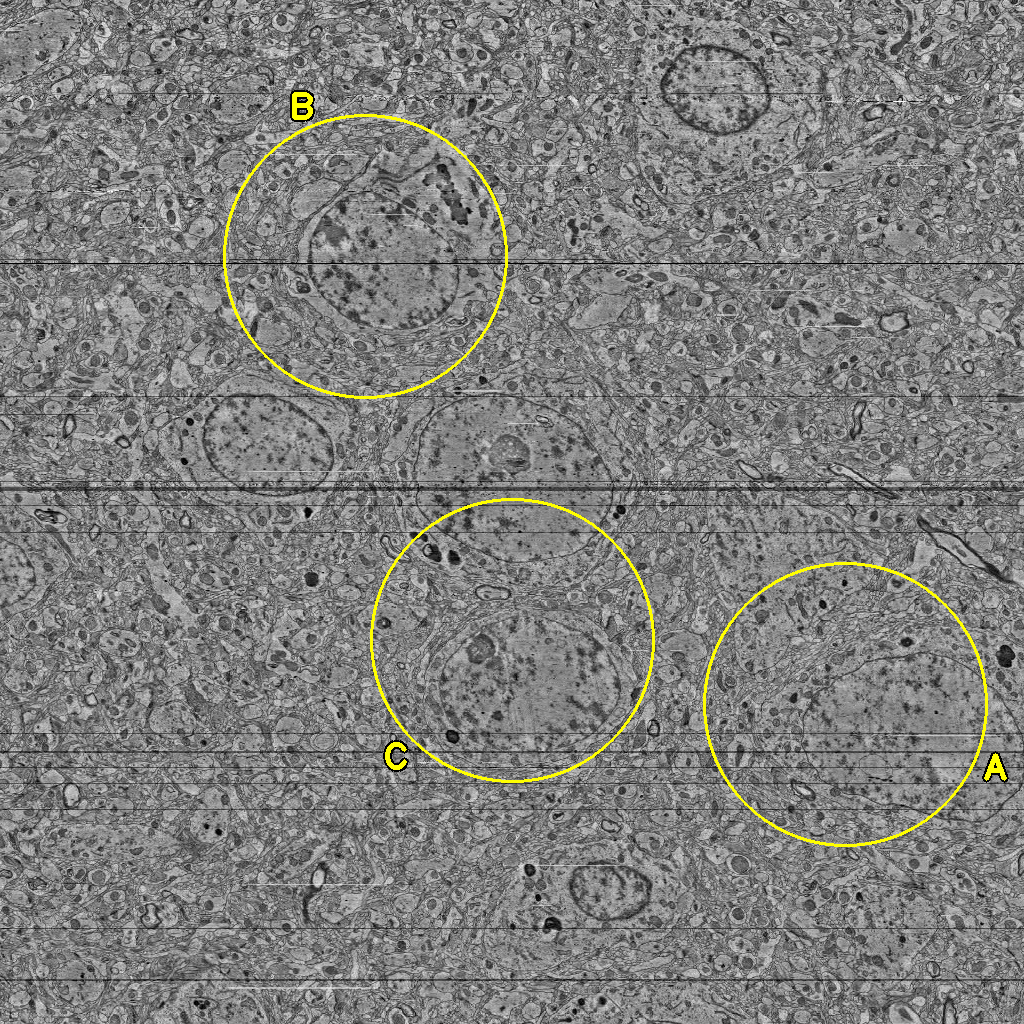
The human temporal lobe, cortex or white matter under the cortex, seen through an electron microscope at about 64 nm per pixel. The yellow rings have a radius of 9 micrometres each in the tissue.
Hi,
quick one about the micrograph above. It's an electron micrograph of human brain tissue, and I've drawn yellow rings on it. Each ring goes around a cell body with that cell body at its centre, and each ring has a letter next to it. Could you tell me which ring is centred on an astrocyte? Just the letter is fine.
B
